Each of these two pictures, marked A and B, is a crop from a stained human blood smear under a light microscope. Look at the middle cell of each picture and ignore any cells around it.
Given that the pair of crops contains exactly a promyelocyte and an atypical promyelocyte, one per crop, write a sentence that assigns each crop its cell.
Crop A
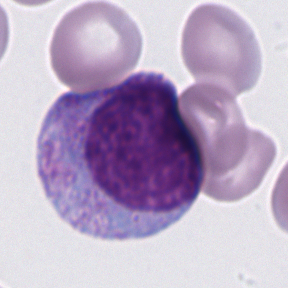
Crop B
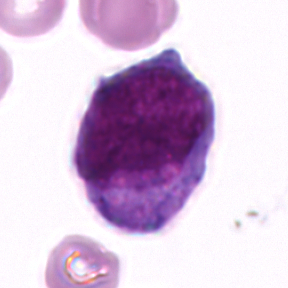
The cell at the centre of crop A is a promyelocyte, and at the centre of crop B, an atypical promyelocyte.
